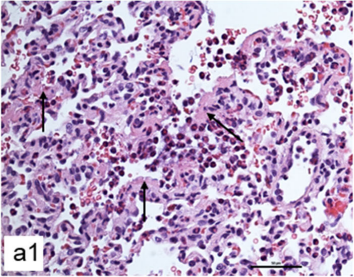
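Lung parenchyma in which the alveolar septa are greatly broadened and packed with many small cells with dark purple nuclei, among them leukocytes with lobed nuclei. Within several septa lies pale pink, structureless material that widens them further.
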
